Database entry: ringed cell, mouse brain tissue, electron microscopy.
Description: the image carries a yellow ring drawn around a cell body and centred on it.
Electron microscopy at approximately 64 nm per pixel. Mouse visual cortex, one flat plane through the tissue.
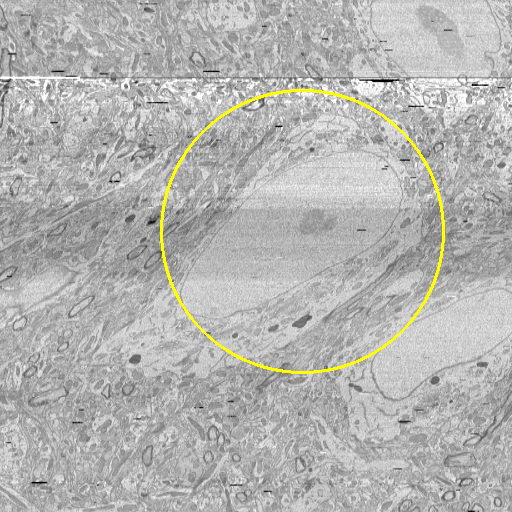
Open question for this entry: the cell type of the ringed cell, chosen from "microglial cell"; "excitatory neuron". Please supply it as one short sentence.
The ringed cell is an excitatory neuron.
